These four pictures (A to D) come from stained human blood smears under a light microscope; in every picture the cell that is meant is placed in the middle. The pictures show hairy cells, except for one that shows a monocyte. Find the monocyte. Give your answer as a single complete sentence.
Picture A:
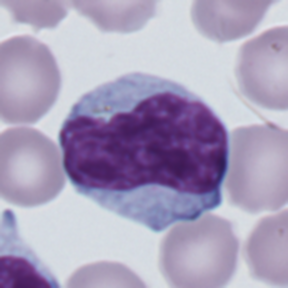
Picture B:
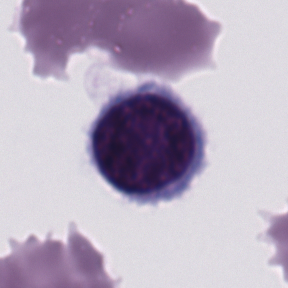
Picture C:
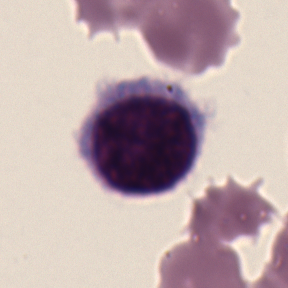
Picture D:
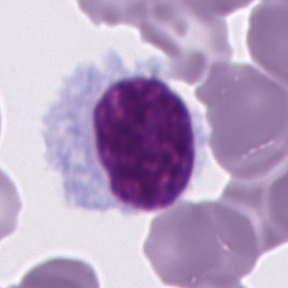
Picture A shows the monocyte.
